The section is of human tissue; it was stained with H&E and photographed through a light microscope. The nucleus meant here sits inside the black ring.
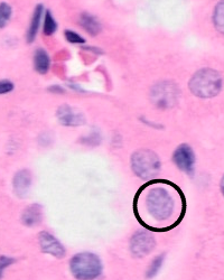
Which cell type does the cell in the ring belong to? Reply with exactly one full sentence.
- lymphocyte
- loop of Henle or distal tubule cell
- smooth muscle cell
As classified here, the cell in the ring is a loop of Henle or distal tubule cell.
